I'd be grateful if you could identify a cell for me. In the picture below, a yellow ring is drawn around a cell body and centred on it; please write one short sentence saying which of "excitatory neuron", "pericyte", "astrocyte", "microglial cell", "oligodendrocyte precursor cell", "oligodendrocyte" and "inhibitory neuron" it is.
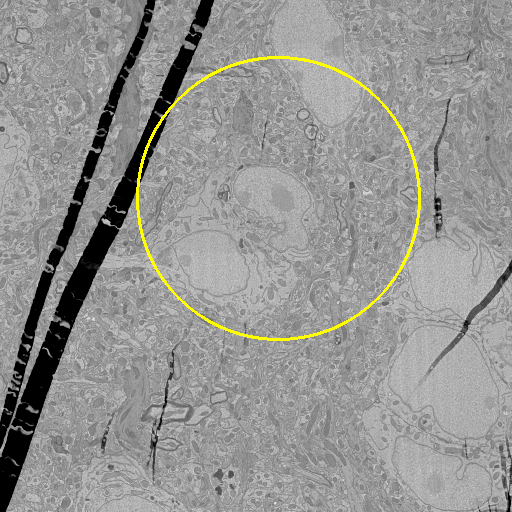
The cell under the ring's centre is an oligodendrocyte precursor cell.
